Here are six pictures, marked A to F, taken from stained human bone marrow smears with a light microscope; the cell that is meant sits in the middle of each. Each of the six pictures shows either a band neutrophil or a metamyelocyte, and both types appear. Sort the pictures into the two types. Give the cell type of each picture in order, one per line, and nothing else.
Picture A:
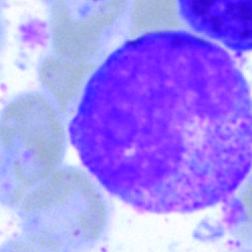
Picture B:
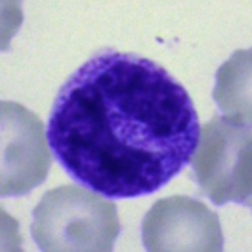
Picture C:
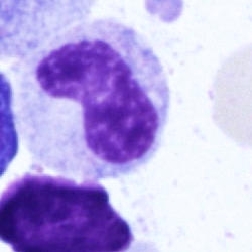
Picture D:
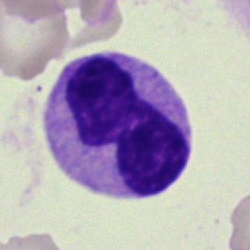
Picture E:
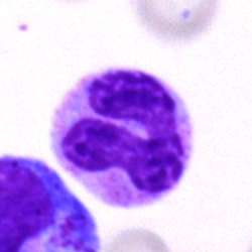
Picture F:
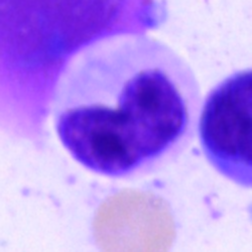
metamyelocyte
band neutrophil
band neutrophil
band neutrophil
band neutrophil
metamyelocyte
